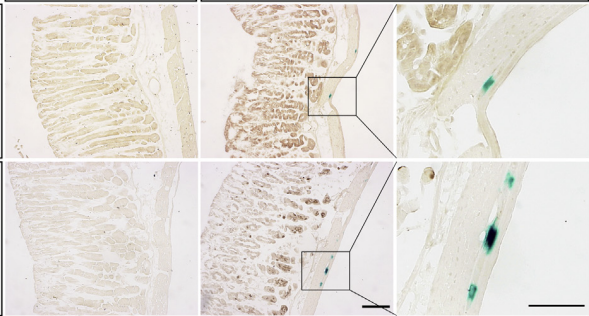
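This is the wall of the stomach, with the tall glandular mucosa made of closely packed columns of glands and, to the side, the smooth band of the muscularis externa. The enlarged views show the muscle layer as long, smooth bands, with a few small, sharply defined blue-green deposits lying within it.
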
